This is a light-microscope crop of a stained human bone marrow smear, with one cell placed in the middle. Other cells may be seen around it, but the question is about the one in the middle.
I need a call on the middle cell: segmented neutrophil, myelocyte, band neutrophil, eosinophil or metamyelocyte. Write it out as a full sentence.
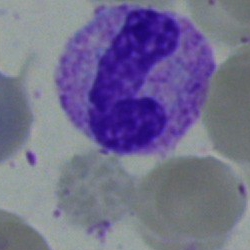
In the middle of this smear crop is a band neutrophil.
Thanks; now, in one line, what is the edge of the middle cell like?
Expected answer: a smooth cell outline without projections of any sort.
